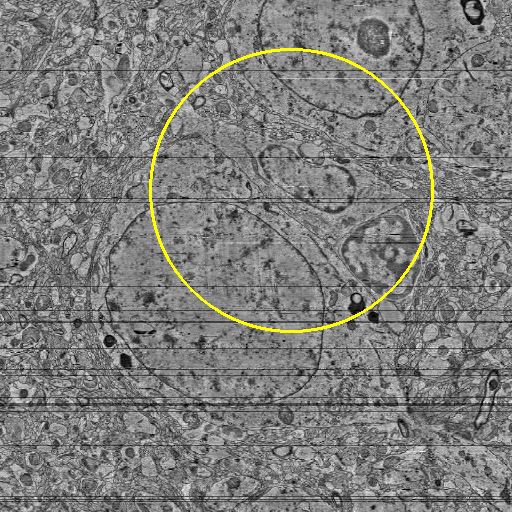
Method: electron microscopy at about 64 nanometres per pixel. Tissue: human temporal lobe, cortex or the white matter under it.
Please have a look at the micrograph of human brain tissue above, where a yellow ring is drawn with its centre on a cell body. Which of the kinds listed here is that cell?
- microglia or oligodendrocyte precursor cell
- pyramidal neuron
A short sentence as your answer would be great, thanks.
At the centre of the ring sits a microglial cell or oligodendrocyte precursor cell.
